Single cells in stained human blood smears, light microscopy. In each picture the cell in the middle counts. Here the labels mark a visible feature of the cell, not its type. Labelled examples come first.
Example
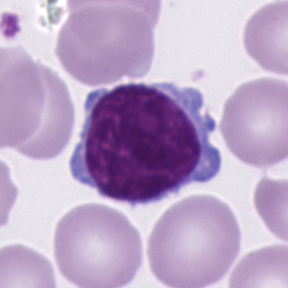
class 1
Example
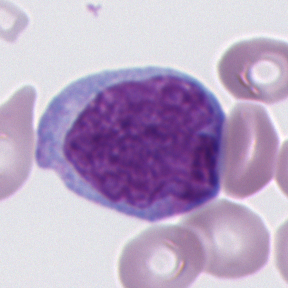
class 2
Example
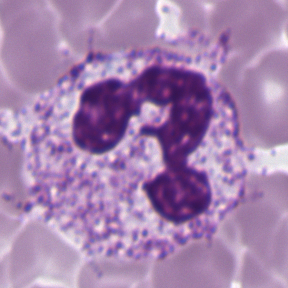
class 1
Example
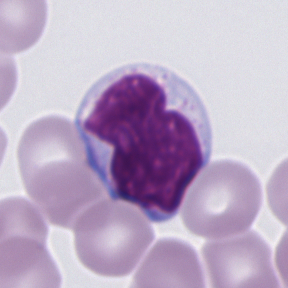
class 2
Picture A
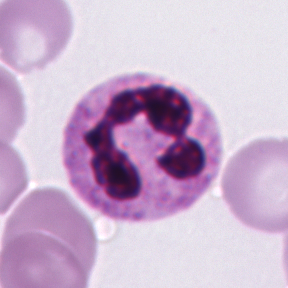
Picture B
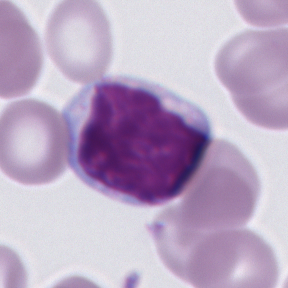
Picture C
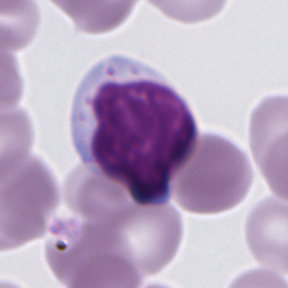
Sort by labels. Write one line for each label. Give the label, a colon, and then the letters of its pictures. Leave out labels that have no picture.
class 2: A, B, C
